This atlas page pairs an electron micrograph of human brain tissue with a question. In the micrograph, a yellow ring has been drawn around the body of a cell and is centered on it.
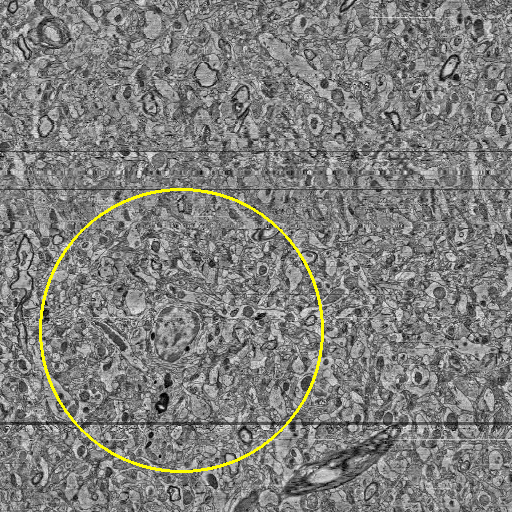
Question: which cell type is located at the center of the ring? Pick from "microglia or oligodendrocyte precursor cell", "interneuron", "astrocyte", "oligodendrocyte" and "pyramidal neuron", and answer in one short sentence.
Located at the center of the ring is a microglial cell or oligodendrocyte precursor cell.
